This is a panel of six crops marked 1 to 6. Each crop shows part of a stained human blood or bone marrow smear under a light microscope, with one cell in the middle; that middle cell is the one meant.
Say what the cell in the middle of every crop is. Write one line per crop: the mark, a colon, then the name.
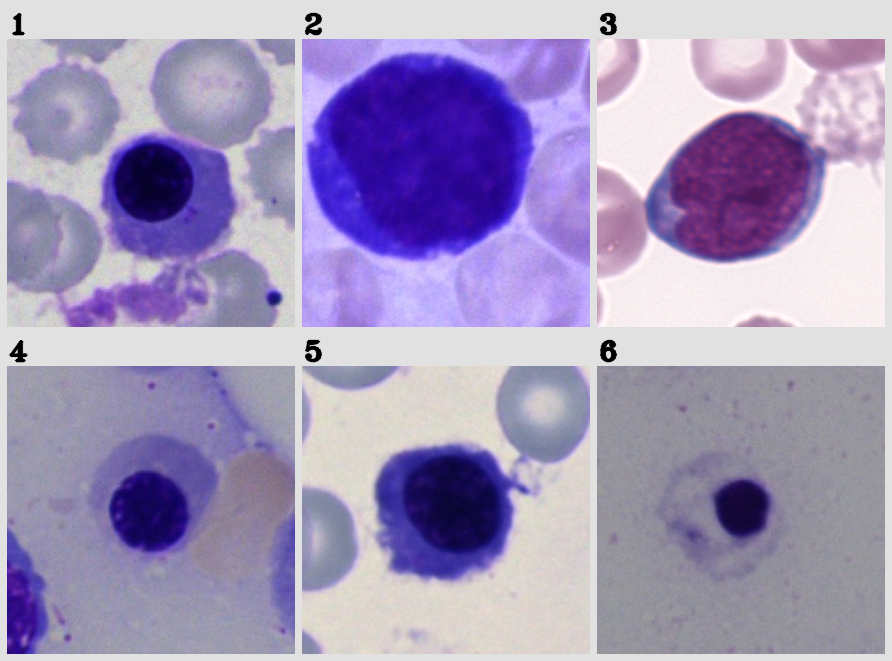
1: erythroblast
2: blast
3: blast
4: erythroblast
5: erythroblast
6: erythroblast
